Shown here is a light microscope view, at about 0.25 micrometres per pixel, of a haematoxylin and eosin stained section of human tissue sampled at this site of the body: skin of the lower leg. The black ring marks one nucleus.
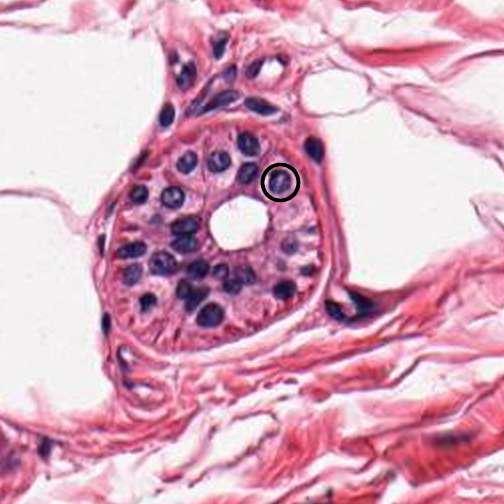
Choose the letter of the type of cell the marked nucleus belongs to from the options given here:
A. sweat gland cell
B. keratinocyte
A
